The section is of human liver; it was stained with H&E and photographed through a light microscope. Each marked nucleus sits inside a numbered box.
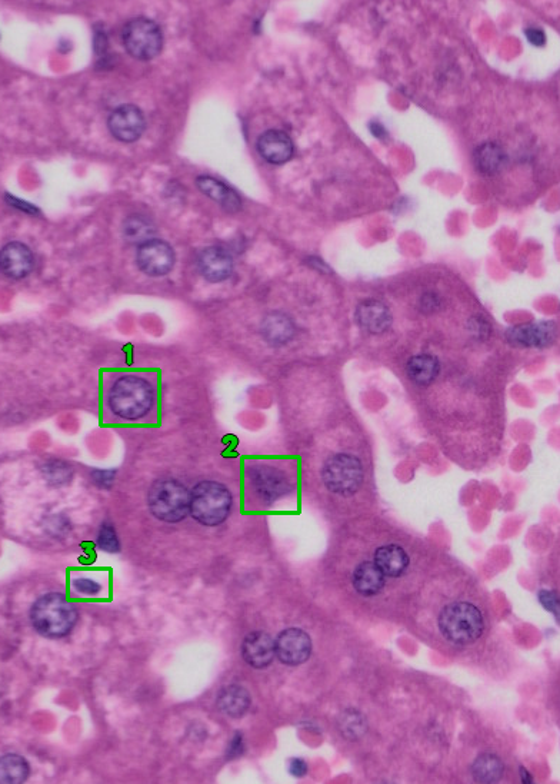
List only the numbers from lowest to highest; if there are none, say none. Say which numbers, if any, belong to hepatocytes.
1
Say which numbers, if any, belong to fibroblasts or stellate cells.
none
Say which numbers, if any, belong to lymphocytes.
3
